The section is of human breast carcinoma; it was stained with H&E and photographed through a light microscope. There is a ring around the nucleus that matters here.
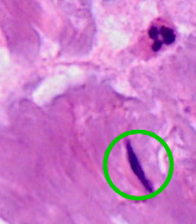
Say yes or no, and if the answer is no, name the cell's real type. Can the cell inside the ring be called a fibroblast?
Yes.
